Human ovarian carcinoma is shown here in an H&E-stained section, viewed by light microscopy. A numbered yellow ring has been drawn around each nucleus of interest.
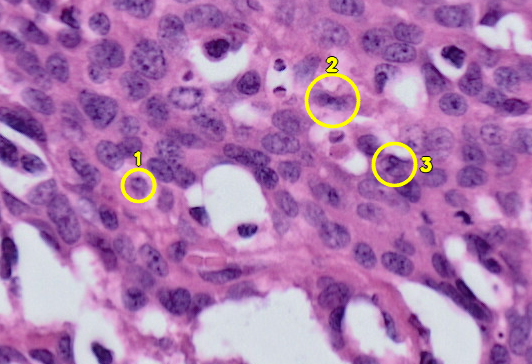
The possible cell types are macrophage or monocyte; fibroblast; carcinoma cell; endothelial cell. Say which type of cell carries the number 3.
carcinoma cell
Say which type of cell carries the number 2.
endothelial cell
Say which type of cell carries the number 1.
macrophage or monocyte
